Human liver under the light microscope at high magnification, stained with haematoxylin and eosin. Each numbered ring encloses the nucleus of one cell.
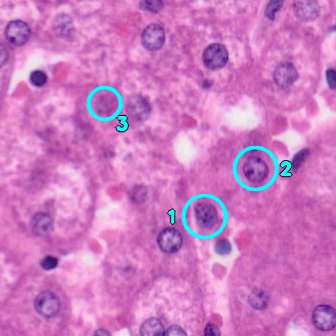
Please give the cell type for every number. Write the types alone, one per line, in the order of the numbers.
Kupffer cell
hepatocyte
hepatocyte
